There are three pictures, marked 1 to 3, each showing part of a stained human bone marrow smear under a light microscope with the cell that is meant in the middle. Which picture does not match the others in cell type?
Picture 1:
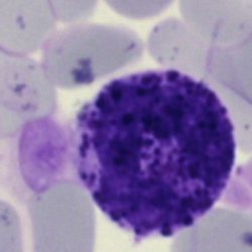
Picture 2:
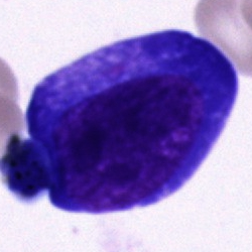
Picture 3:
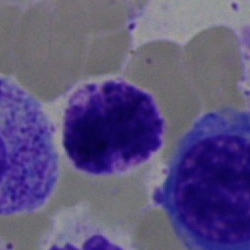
2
